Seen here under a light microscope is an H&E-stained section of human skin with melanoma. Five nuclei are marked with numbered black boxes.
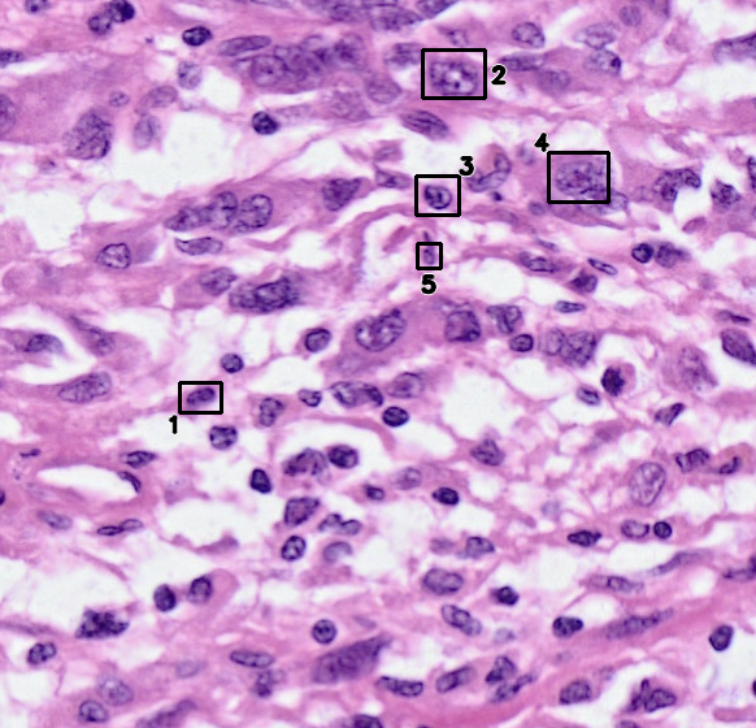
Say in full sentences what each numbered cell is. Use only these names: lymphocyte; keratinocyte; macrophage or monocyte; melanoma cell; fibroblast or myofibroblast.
Cells 1 and 5 are macrophages or monocytes. Cells 2 and 4 are melanoma cells. Cell 3 is a lymphocyte.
